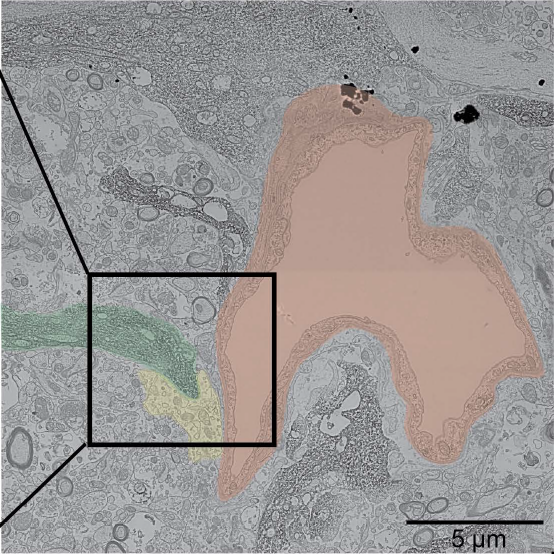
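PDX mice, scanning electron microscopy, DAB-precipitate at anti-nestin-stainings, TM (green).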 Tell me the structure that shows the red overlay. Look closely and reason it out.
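The red overlay fills a large, empty, irregularly branched lumen. A thin cellular wall lines the red lumen. The red structure is much larger than the surrounding cell profiles. The answer: blood vessel.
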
